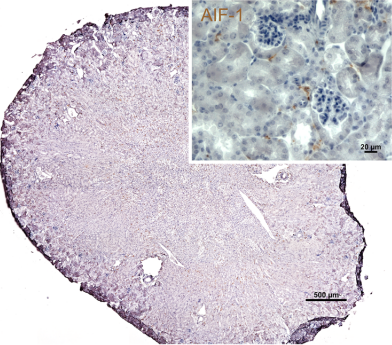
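A section of kidney is shown, whole at low power with a higher-power inset of cortex. At low power the tissue is pale purple throughout, with a cortex at the rim and radially arranged tubules toward the centre; only a dark edge rims the capsule. In the inset two round glomeruli with blue nuclei sit among closely packed tubules lined by pale pink epithelium. The interstitium between tubules is narrow and sparse in cells, and only a few small, faint brown-stained cells are scattered between tubules. The architecture is orderly without a dense cellular infiltrate.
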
